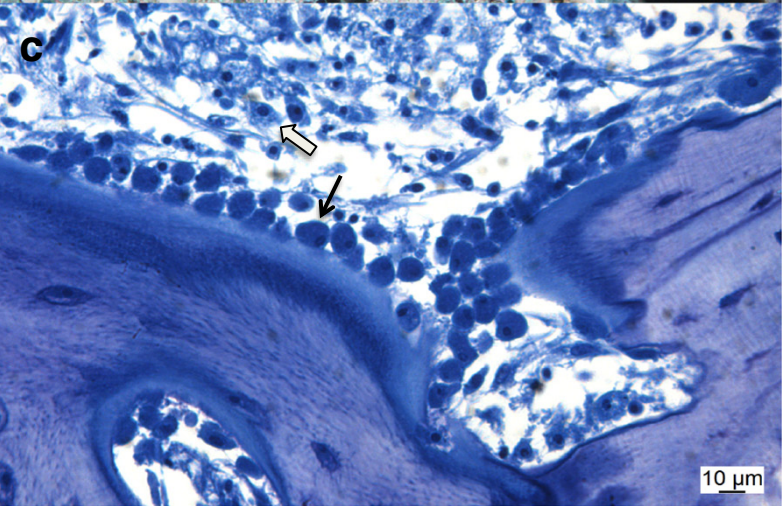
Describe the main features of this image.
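This is bone tissue with a row of osteoblasts lining the bone surface, next to a marrow space with loose connective tissue. The bone matrix is stained blue with a fibrous texture and contains scattered flattened cells in lacunae. Along its surface lie closely packed plump, rounded cells with dark round nuclei, forming a continuous layer. Beyond this layer, the space holds loosely arranged cells and fine strands of tissue.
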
